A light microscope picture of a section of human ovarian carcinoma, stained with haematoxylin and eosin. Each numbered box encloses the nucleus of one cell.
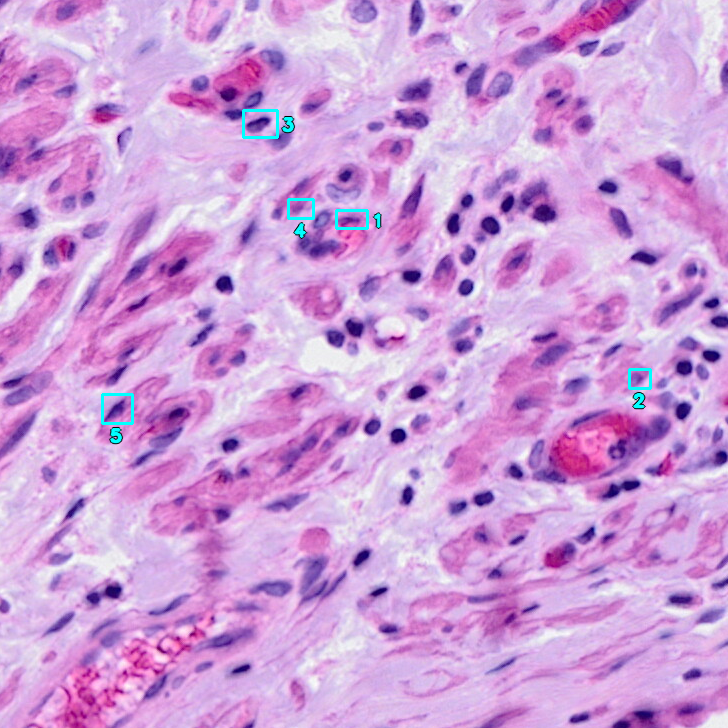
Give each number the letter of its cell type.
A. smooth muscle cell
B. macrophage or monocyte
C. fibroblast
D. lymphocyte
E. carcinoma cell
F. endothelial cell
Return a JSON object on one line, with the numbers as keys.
{"1": "F", "2": "A", "3": "D", "4": "A", "5": "A"}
